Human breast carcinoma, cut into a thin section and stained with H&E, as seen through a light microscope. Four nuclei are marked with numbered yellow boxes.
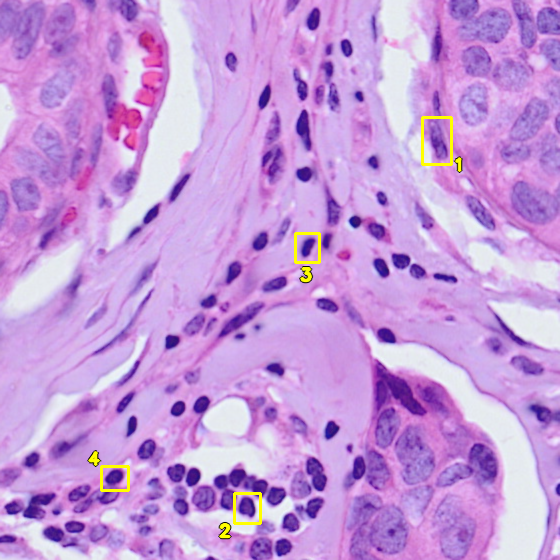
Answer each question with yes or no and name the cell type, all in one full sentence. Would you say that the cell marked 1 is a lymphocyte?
No, number 1 is not a lymphocyte; it is an endothelial cell.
